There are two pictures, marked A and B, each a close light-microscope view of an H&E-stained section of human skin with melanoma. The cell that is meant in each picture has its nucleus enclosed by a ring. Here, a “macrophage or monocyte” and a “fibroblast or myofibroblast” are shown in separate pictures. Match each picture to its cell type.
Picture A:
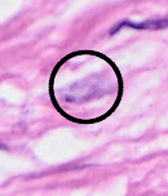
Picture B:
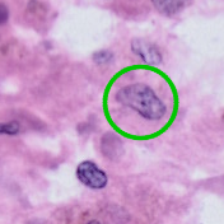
A: fibroblast or myofibroblast
B: macrophage or monocyte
